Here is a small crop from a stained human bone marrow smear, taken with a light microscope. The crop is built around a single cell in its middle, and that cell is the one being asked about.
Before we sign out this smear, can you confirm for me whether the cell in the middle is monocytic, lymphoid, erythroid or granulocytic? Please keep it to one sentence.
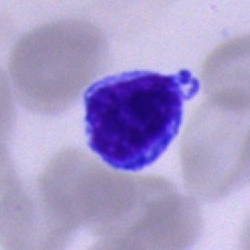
The cell in the center of the crop is counted in the lymphoid lineage.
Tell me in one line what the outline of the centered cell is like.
Its outline is ragged or drawn out into projections, not smooth.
